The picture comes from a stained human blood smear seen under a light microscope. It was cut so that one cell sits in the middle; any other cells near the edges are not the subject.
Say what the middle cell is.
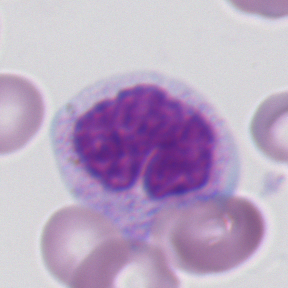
band neutrophil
